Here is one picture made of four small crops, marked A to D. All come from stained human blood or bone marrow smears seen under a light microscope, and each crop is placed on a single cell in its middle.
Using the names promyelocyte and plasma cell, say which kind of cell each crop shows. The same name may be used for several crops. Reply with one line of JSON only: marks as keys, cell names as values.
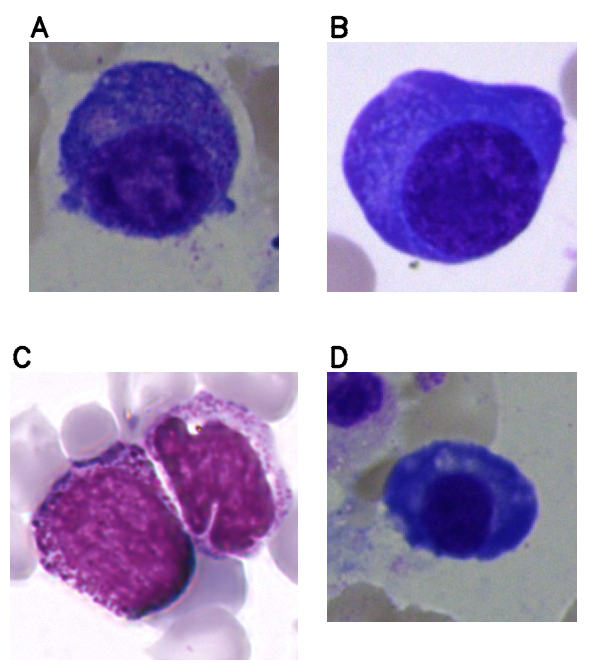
{"A": "promyelocyte", "B": "plasma cell", "C": "promyelocyte", "D": "plasma cell"}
